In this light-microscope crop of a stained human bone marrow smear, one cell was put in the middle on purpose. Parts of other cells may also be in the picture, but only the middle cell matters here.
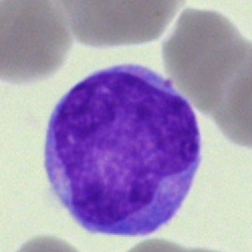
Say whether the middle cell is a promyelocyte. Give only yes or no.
no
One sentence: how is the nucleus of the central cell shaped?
If you check the nucleus, you will find one compact mass, round, oval or kidney-shaped.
